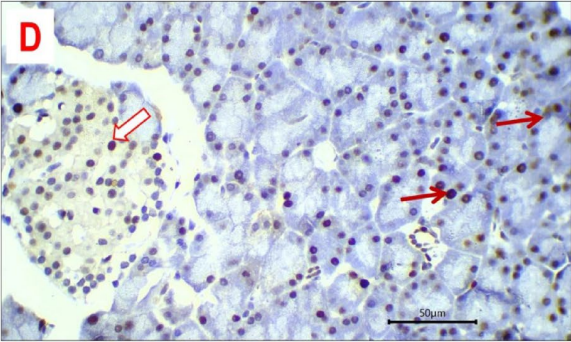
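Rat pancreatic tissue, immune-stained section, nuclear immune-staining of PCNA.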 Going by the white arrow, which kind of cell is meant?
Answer: Islet cells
